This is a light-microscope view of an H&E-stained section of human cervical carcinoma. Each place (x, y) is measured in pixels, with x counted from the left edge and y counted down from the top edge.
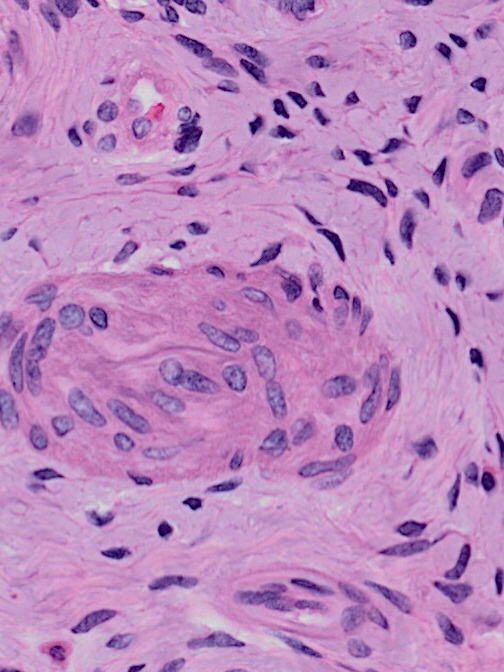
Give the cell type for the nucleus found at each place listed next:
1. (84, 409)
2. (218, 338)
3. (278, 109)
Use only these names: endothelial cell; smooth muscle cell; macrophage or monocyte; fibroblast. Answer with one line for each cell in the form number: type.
1: smooth muscle cell
2: smooth muscle cell
3: fibroblast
